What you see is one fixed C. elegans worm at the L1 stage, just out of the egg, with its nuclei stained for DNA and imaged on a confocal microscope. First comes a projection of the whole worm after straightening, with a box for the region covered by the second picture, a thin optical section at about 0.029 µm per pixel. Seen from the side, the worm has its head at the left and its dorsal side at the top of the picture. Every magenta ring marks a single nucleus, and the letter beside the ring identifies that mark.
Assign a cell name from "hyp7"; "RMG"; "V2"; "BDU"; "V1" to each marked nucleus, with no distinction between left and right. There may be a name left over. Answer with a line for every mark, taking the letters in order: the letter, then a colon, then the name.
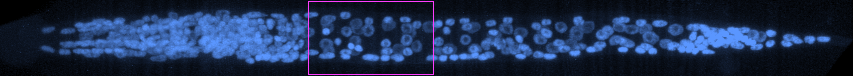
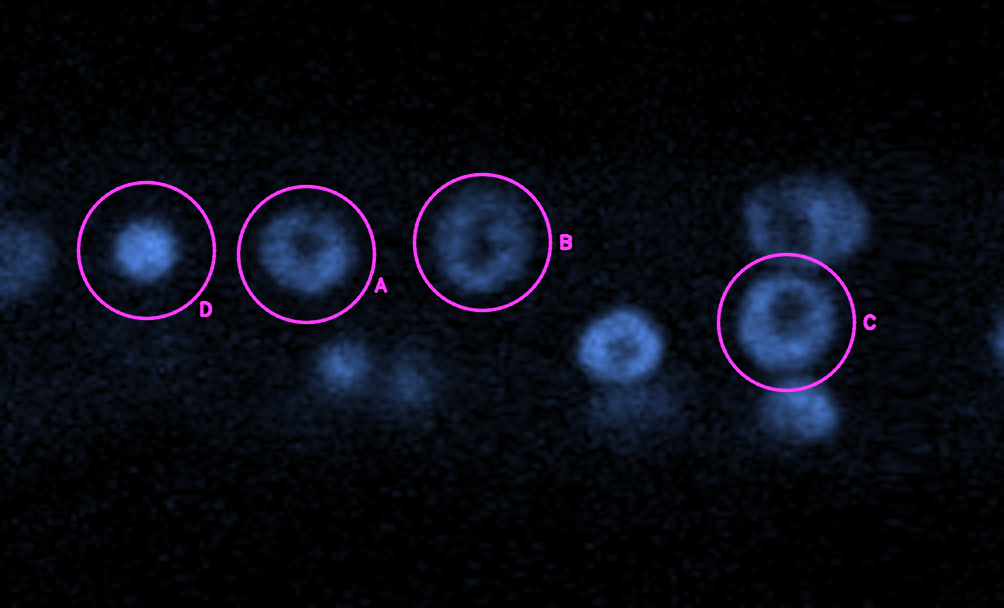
A: V1
B: hyp7
C: V2
D: BDU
